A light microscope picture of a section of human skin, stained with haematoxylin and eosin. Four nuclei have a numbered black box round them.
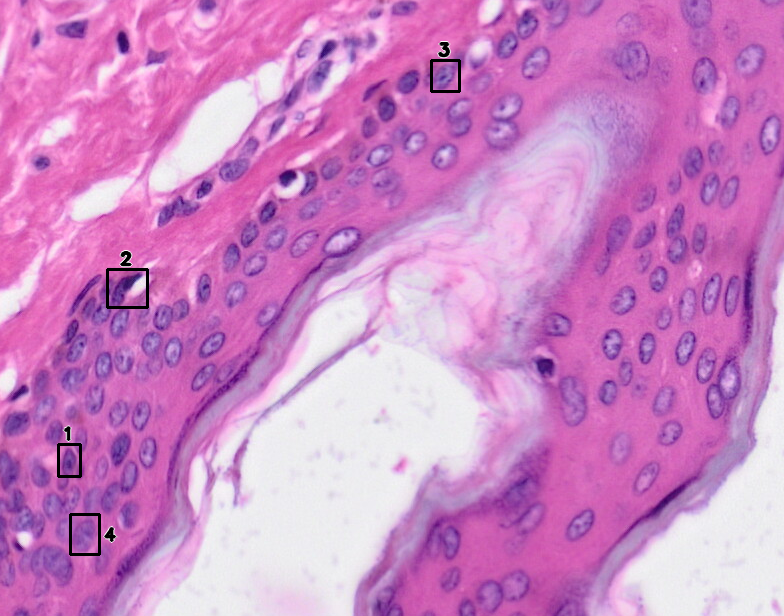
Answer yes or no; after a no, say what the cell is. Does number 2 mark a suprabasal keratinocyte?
No, it is a basal keratinocyte.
